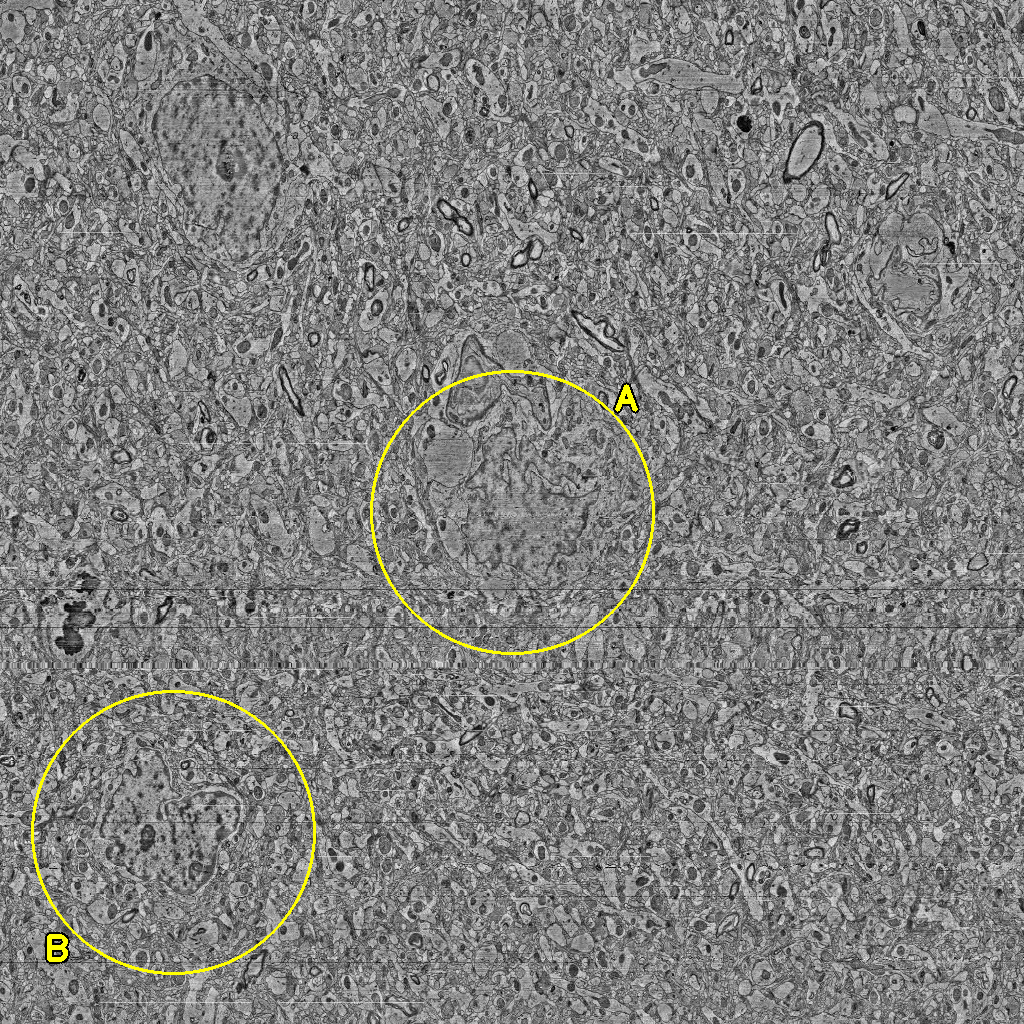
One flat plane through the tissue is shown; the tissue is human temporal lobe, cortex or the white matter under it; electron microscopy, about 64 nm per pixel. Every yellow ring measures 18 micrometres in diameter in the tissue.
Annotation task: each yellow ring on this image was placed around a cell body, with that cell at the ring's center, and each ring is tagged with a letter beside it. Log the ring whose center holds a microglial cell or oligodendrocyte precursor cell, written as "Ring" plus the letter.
Ring B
